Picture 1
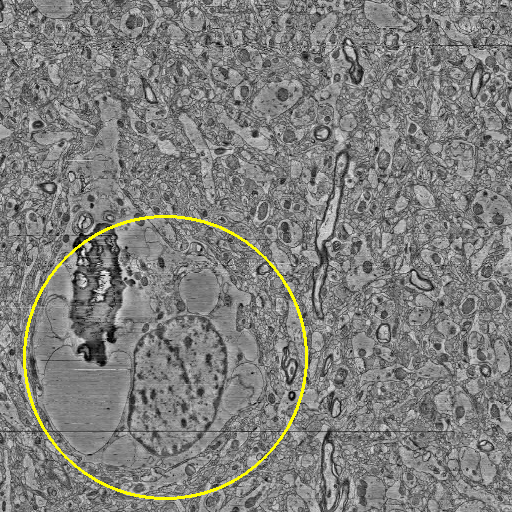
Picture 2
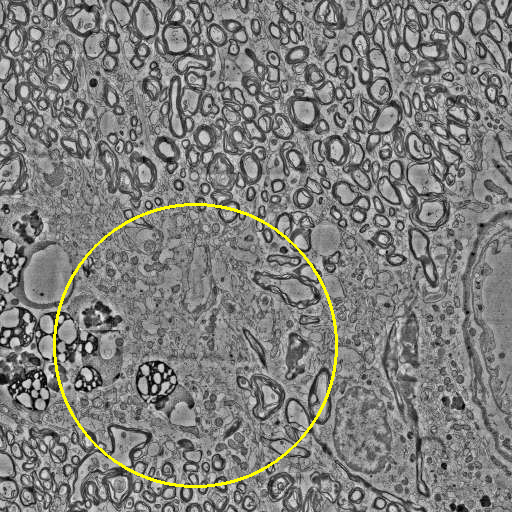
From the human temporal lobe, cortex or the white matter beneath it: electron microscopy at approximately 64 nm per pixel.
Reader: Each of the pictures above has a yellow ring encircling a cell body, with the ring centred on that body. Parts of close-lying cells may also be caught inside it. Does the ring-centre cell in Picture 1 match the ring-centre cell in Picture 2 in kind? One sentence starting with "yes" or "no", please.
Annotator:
Yes, Picture 1 and Picture 2 show ring-centre cells of a single kind.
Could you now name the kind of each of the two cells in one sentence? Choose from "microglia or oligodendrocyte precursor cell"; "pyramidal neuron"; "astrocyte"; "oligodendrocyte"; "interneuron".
Each one of the two ringed cells is an astrocyte.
